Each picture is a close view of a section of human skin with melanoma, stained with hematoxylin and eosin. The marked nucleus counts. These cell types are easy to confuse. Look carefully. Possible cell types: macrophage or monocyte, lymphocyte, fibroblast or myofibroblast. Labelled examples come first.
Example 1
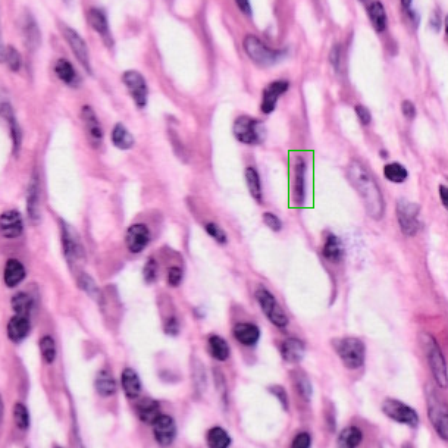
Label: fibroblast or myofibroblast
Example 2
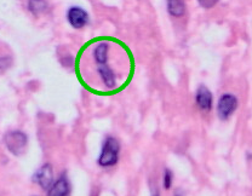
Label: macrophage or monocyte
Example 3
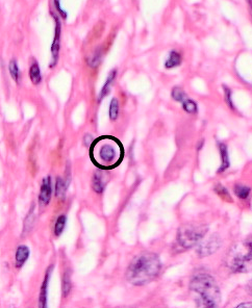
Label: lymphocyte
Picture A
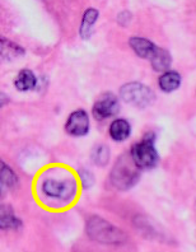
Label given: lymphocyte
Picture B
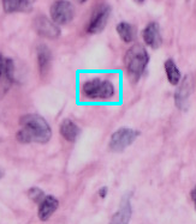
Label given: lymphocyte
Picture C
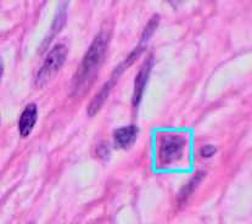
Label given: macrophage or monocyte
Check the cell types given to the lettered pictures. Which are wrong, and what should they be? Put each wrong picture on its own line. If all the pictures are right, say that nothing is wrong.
All correct.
